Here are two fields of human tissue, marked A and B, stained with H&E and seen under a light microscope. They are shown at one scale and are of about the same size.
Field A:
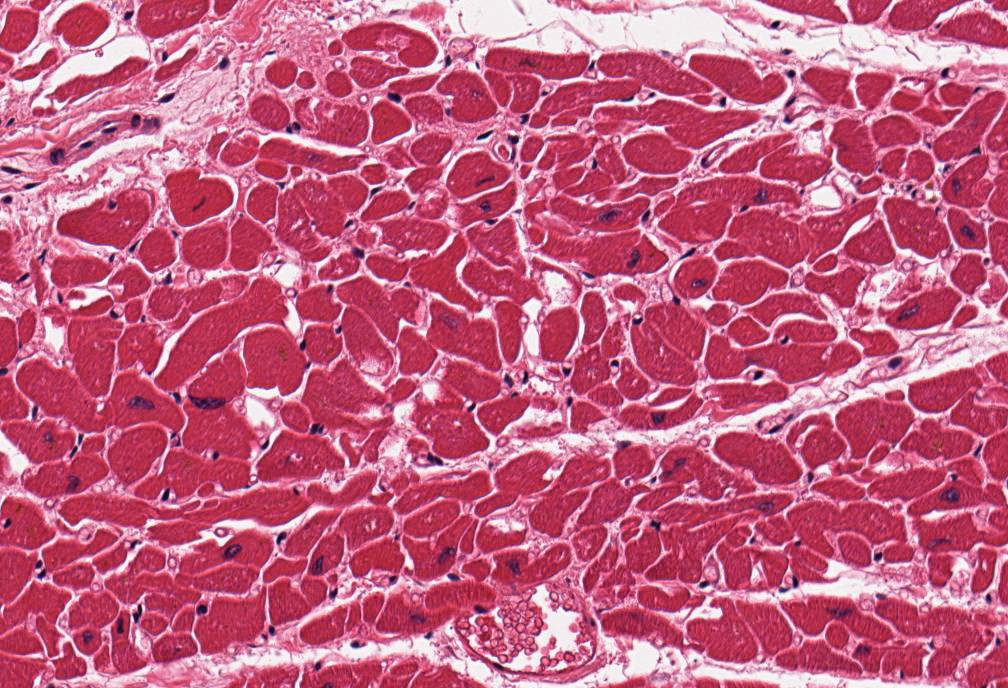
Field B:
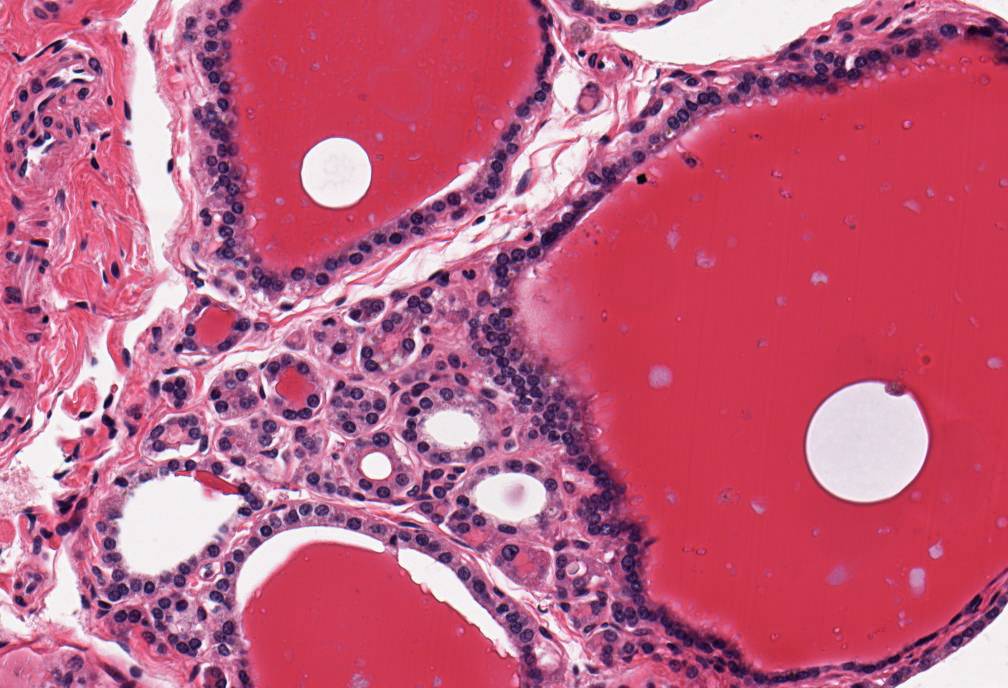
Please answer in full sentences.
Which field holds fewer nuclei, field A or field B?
It is field A that has fewer nuclei in it.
